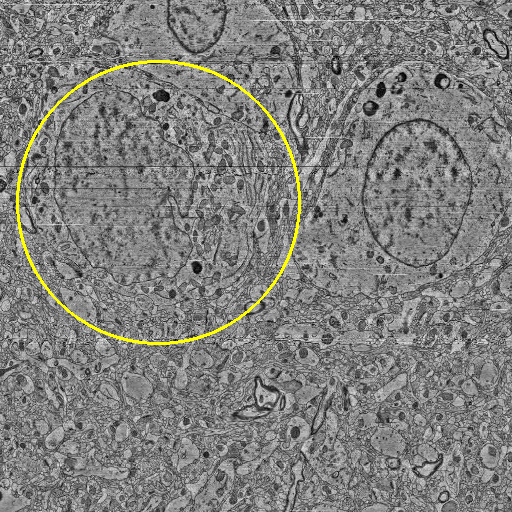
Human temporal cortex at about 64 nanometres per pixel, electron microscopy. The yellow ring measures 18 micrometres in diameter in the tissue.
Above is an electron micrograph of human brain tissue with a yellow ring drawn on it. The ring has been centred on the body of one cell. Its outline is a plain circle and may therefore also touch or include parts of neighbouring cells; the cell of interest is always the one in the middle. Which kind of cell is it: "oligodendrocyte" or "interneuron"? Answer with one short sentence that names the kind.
The ring's central cell body is that of an interneuron.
